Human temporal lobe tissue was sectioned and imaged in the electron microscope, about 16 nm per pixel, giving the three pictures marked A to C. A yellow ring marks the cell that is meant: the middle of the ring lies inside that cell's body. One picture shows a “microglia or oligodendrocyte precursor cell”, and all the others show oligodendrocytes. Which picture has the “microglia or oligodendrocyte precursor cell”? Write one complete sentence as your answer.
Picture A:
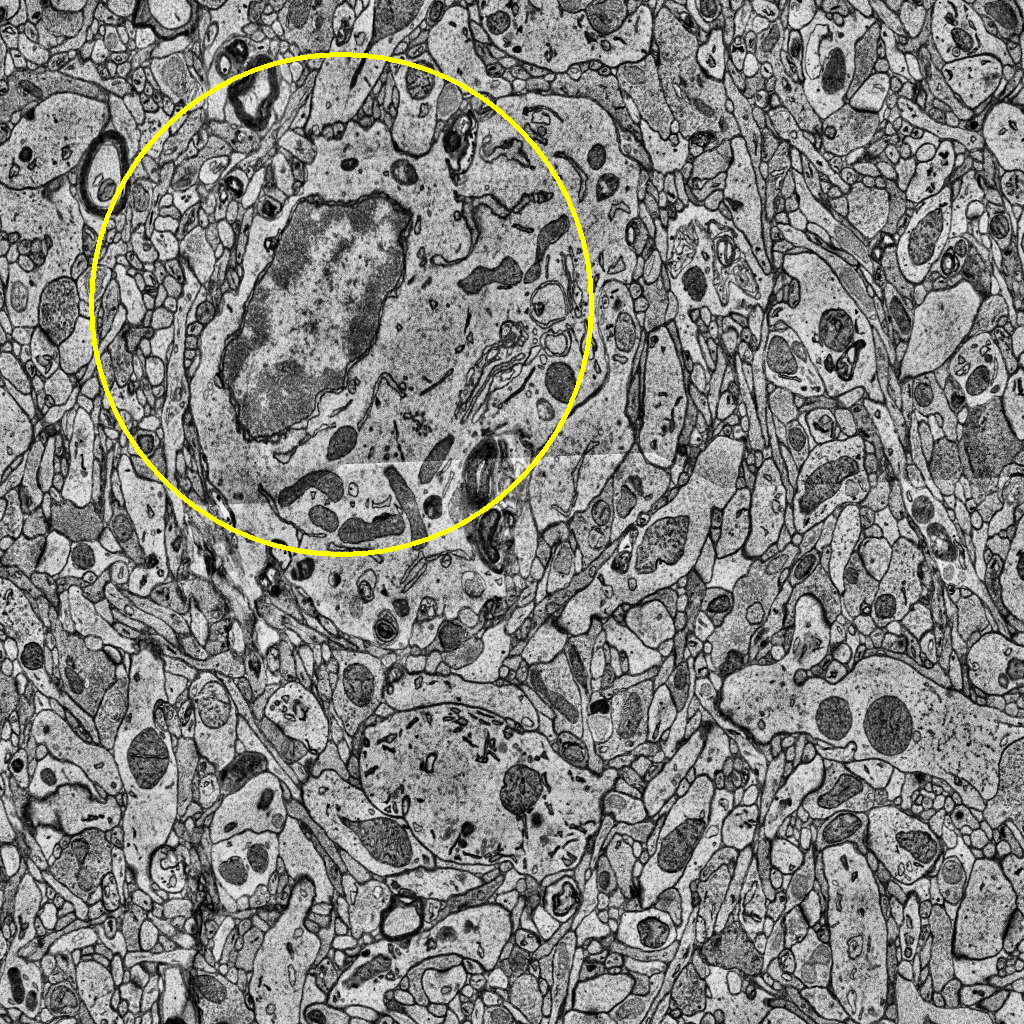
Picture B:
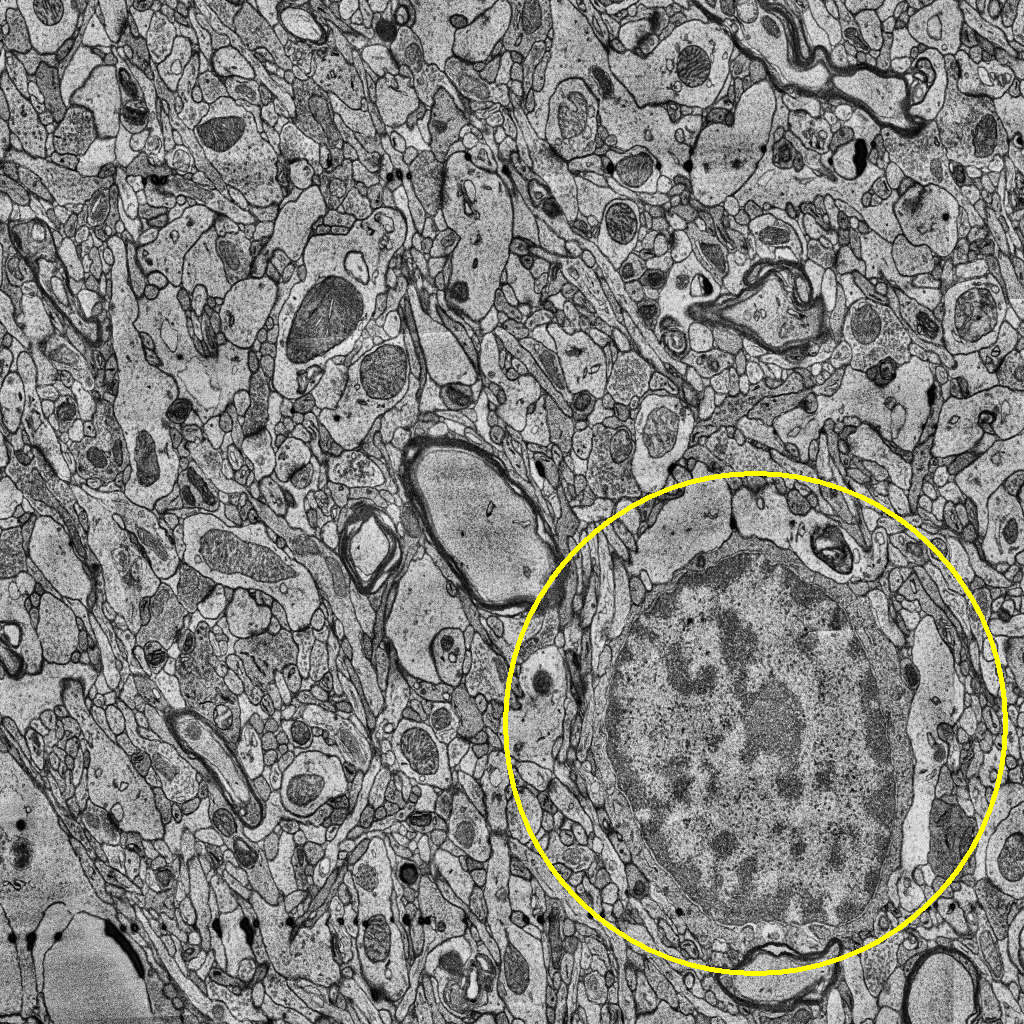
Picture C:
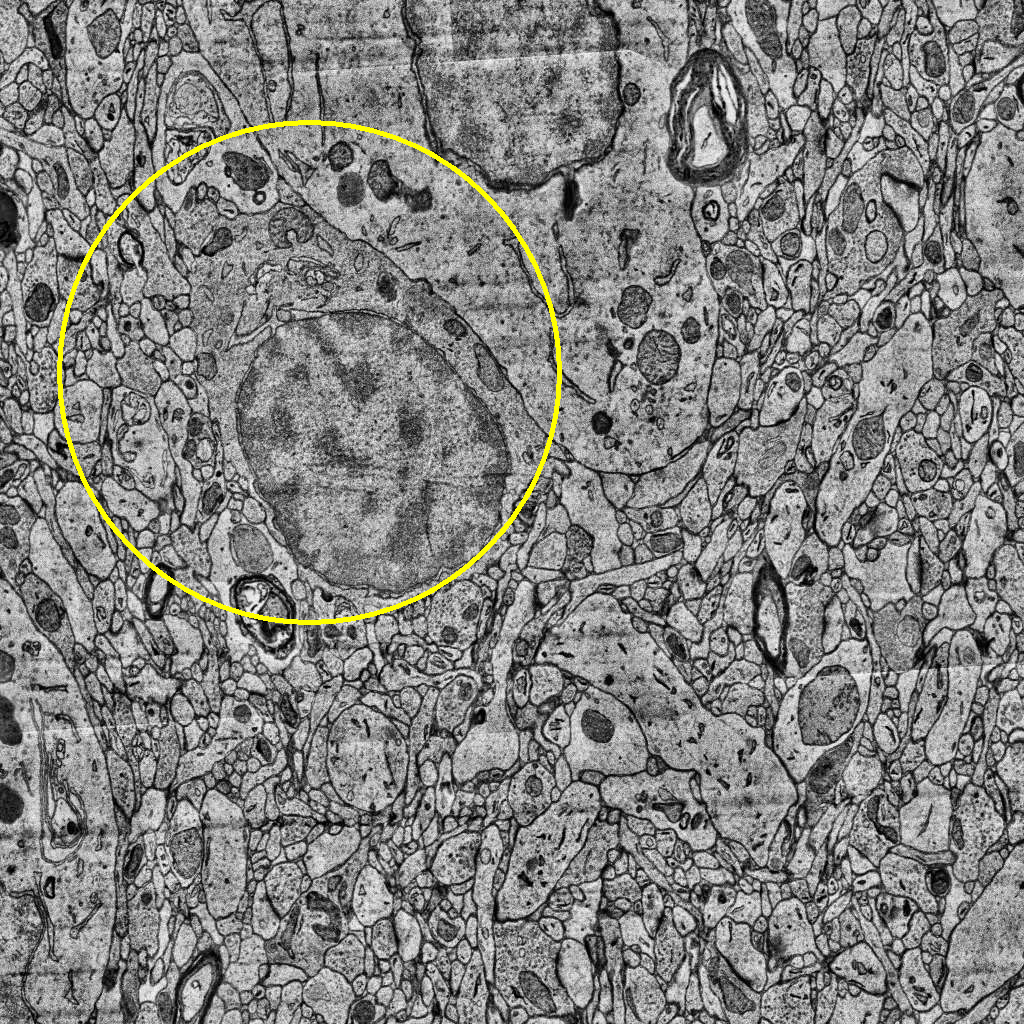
It is picture A that shows the “microglia or oligodendrocyte precursor cell”.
